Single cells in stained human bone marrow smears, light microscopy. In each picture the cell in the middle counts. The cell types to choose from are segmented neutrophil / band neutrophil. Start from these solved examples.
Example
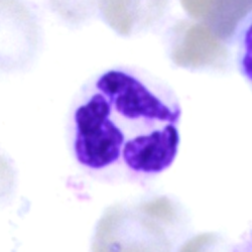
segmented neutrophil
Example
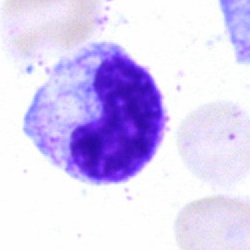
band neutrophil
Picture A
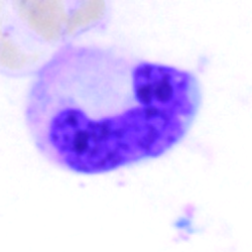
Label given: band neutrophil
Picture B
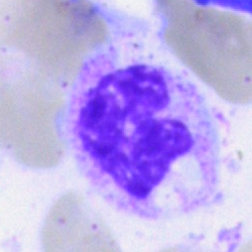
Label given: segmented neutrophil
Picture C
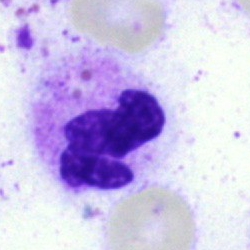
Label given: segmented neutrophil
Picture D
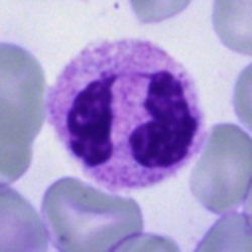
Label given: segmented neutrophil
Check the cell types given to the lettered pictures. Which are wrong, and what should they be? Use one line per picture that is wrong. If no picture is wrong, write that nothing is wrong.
A: change band neutrophil to segmented neutrophil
